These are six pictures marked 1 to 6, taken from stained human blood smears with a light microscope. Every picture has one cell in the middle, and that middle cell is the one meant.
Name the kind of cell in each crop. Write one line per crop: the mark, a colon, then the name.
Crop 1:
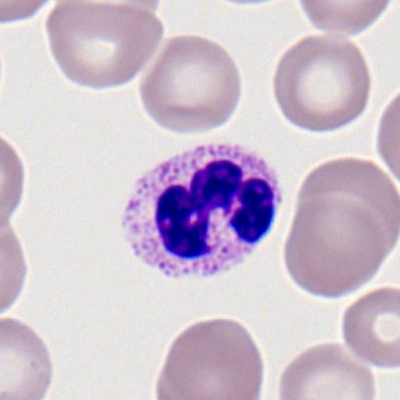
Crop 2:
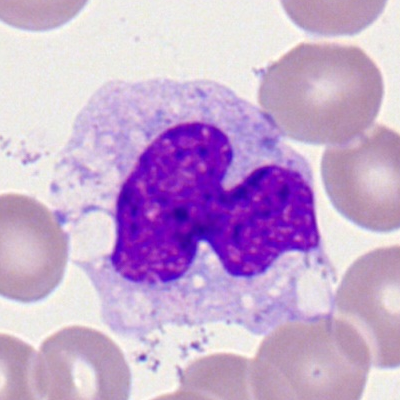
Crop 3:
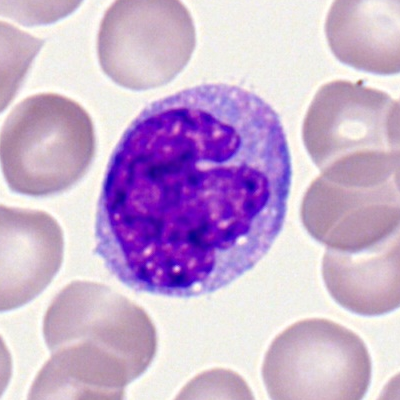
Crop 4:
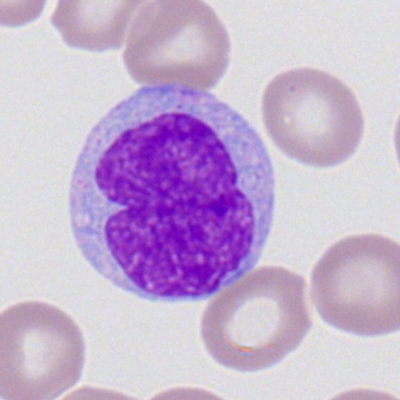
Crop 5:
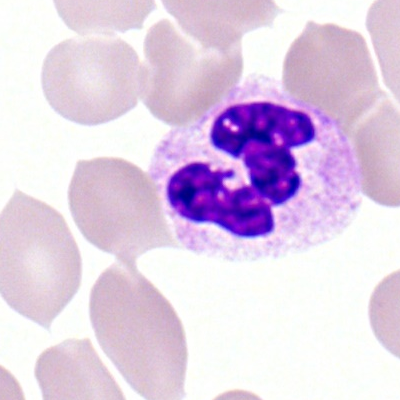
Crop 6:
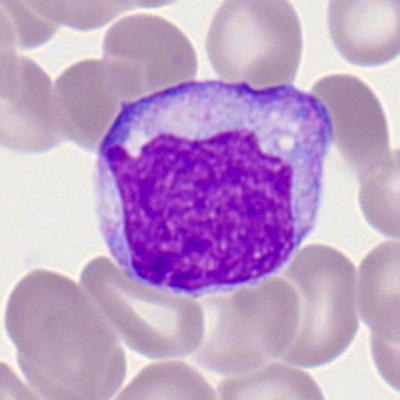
1: segmented neutrophil
2: monocyte
3: monocyte
4: monocyte
5: segmented neutrophil
6: monocyte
